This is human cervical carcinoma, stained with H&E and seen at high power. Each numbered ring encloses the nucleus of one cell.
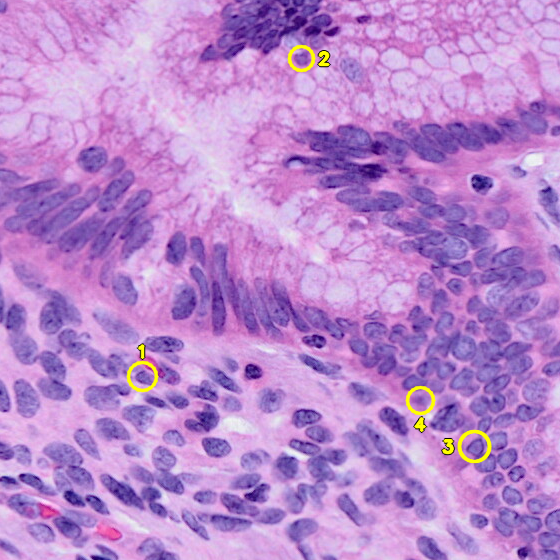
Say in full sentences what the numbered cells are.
Cell 1 is an endothelial cell. Cells 2, 3 and 4 are secretory epithelial cells.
